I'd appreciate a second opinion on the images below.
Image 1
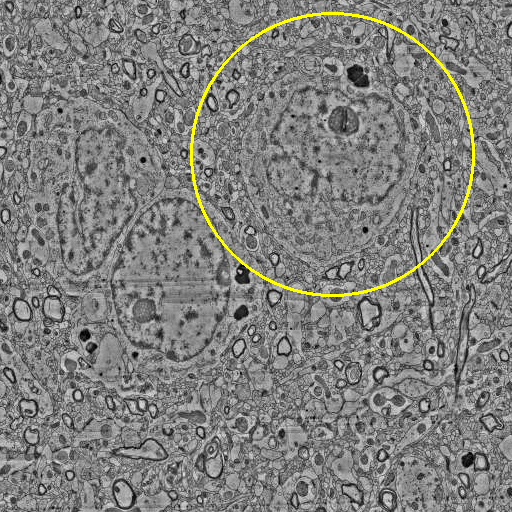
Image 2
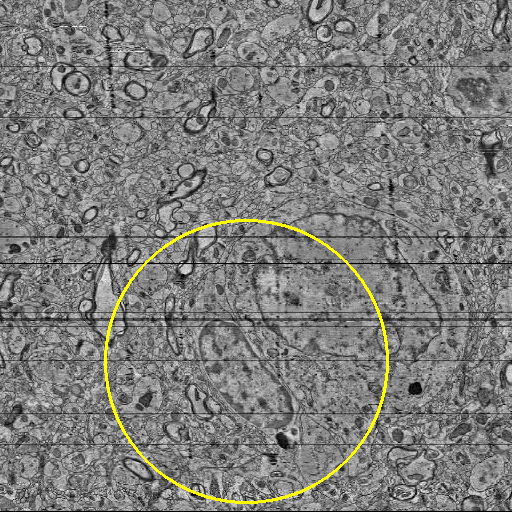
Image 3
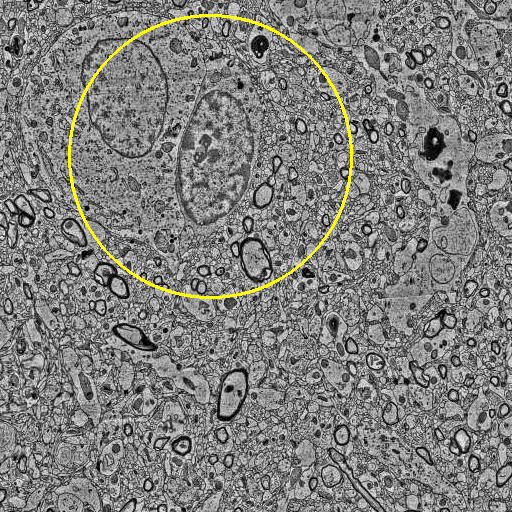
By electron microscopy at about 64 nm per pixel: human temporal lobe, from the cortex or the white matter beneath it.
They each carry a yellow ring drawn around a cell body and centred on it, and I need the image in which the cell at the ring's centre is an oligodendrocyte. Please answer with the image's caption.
Image 3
